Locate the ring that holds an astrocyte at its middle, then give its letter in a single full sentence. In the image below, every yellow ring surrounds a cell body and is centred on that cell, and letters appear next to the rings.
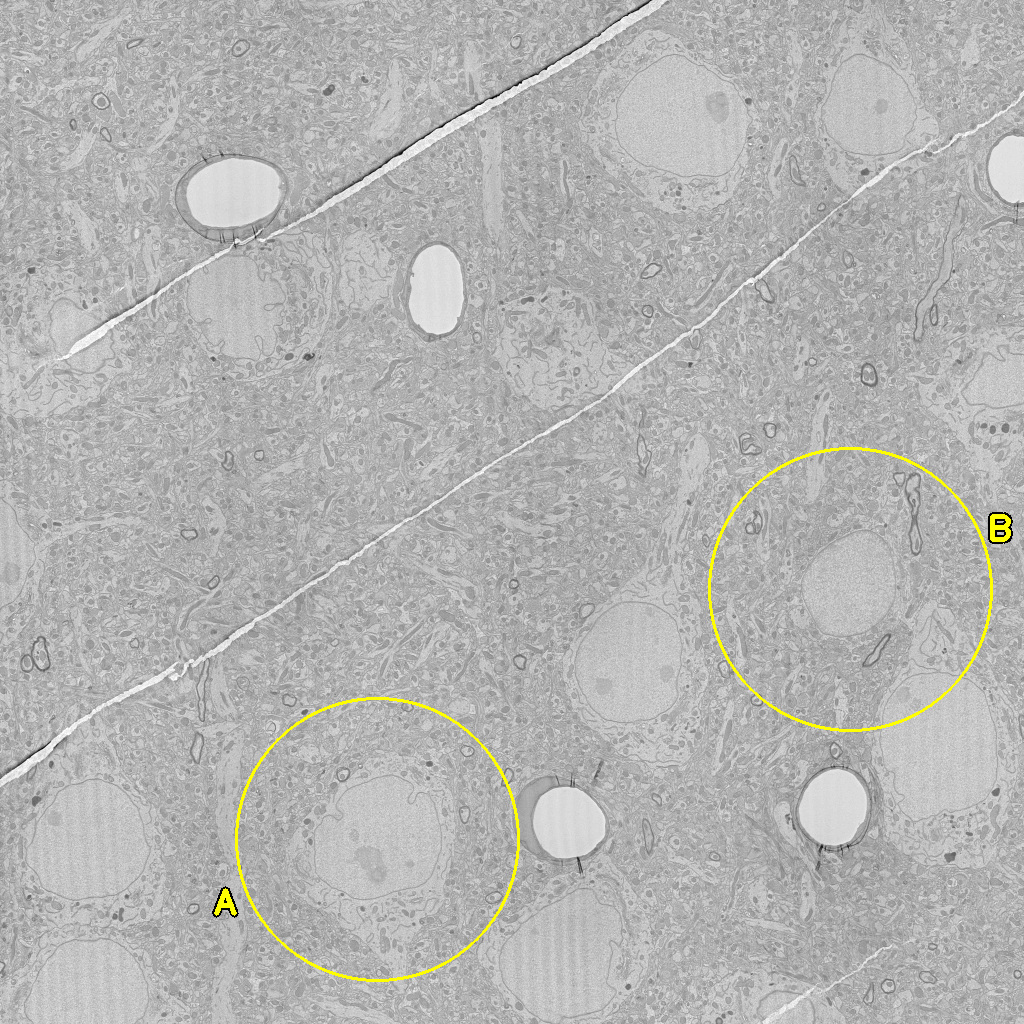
Ring B is the one centred on that kind of cell in the image.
